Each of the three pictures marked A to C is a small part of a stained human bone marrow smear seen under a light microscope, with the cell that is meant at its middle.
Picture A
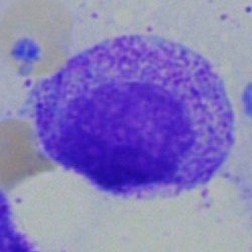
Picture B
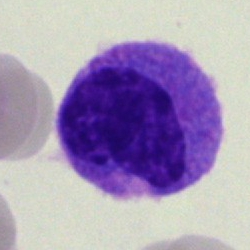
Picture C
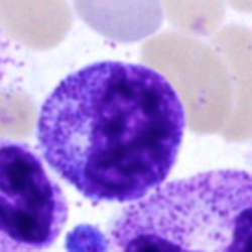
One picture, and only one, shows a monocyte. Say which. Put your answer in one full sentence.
The picture with the monocyte is B.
